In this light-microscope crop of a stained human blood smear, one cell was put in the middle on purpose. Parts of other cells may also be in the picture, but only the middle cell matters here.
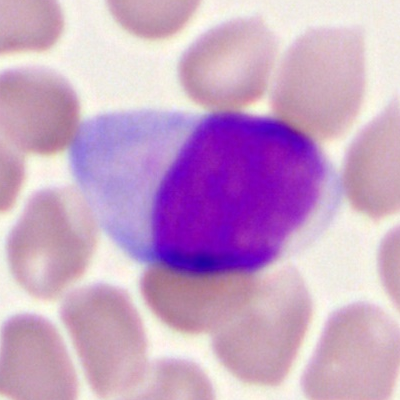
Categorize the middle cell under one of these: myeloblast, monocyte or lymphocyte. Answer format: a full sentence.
In the center of this field lies a myeloblast.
